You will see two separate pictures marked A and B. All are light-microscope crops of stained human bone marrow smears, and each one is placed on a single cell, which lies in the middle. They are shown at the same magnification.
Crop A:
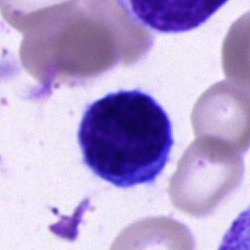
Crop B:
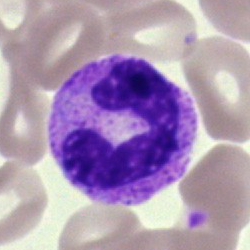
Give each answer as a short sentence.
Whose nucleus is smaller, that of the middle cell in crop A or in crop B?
Crop A shows the smaller nucleus, since that in crop B covers about 1.5 times as much area.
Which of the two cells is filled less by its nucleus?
It is the cell in crop B that is filled less by its nucleus.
